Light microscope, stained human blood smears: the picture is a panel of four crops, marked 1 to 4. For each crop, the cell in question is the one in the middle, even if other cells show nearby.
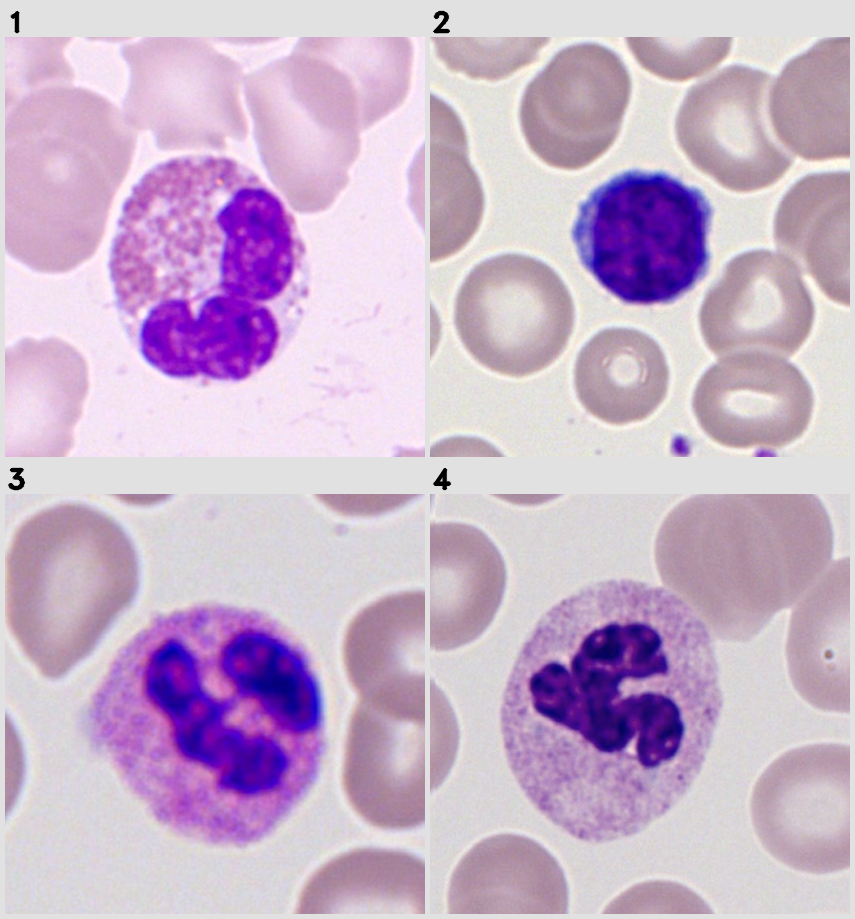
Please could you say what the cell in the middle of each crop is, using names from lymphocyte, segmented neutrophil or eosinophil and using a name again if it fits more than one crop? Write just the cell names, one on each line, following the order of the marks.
eosinophil
lymphocyte
segmented neutrophil
segmented neutrophil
